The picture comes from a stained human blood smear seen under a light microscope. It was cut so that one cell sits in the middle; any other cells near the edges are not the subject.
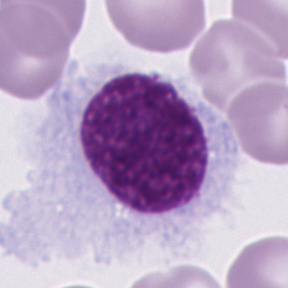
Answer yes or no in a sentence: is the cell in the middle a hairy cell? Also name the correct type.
Yes, shown in the middle of the crop is a hairy cell.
